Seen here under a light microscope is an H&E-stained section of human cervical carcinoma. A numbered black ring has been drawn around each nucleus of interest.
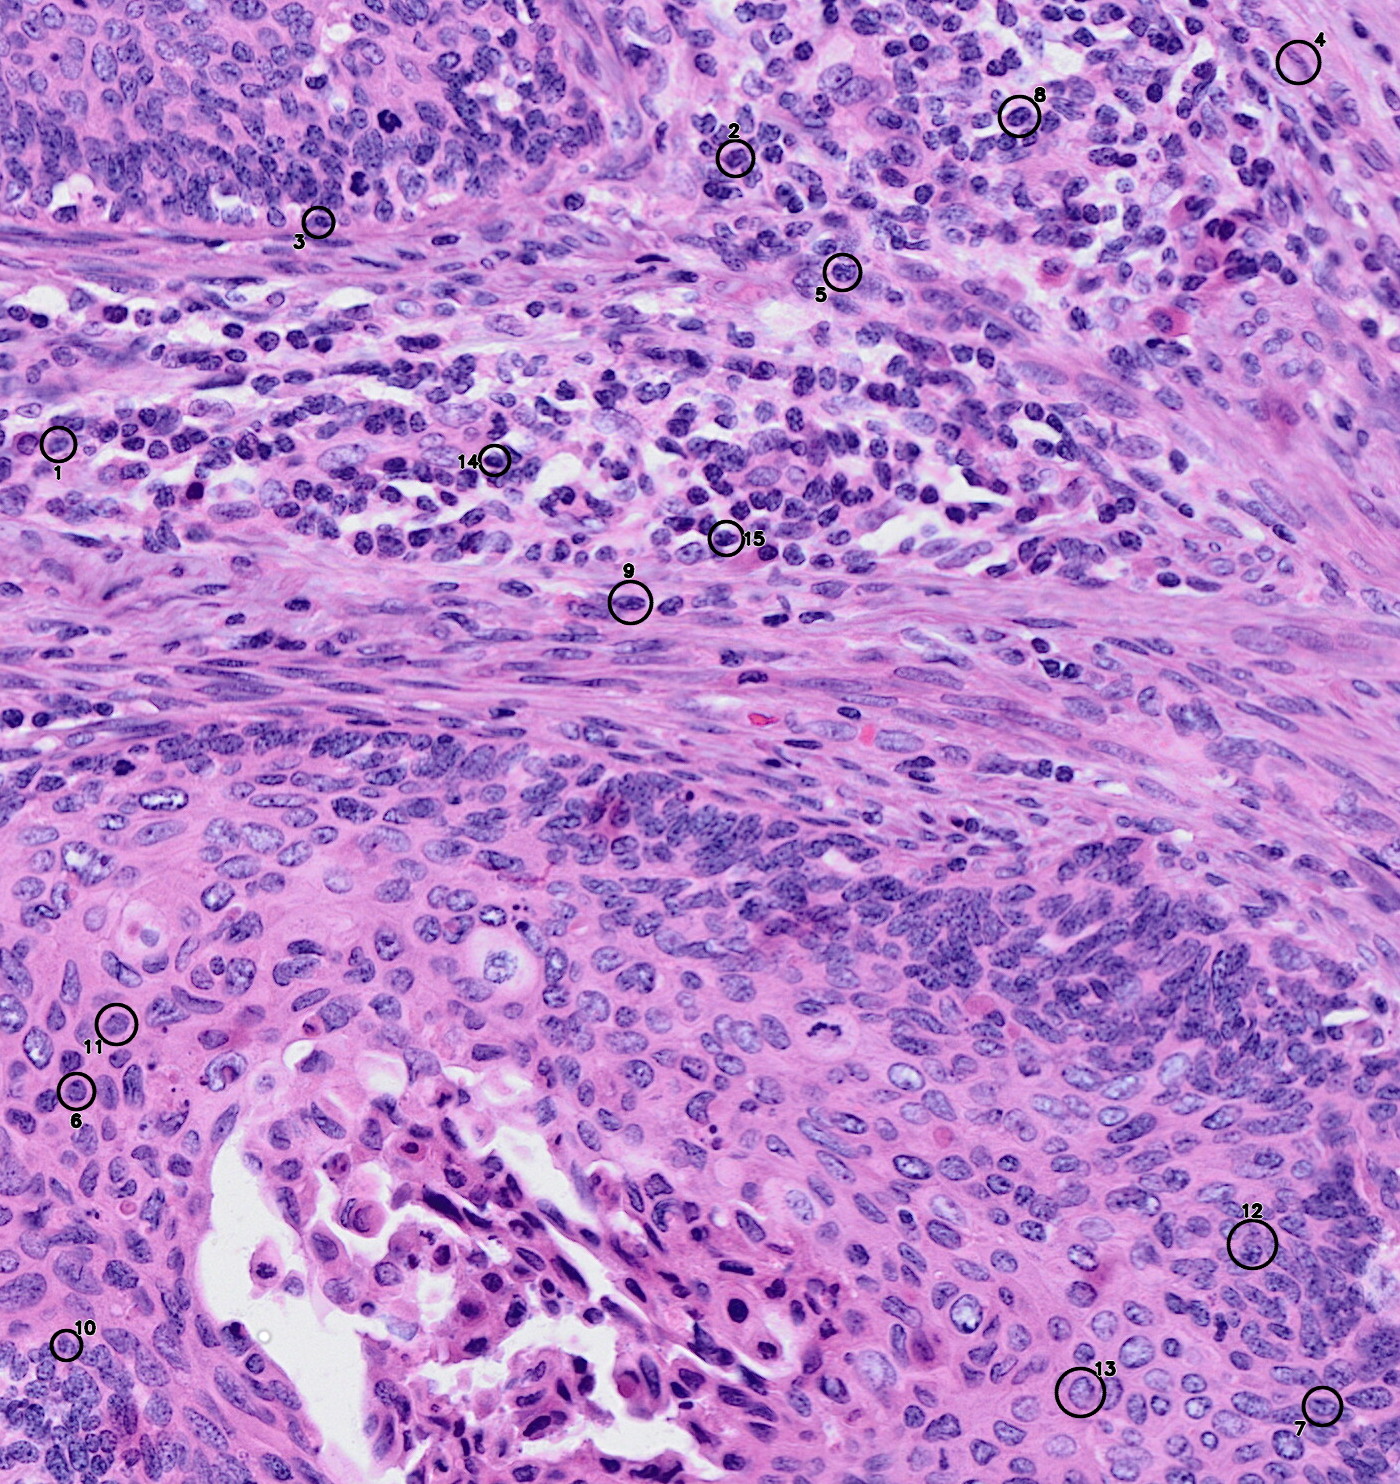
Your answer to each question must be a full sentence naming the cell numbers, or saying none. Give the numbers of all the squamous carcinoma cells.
The cells that have numbers 6, 7, 10, 11, 12 and 13 are squamous carcinoma cells.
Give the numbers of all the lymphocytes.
Cells numbered 1, 2, 3, 5, 8, 9, 14 and 15 belong to the group of lymphocytes.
